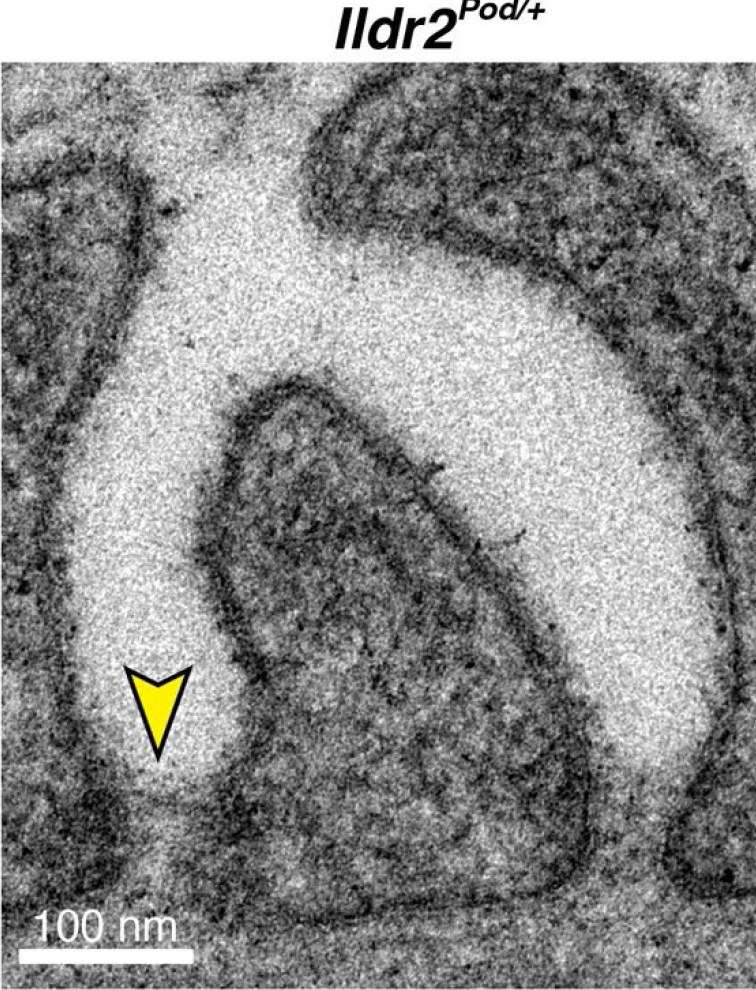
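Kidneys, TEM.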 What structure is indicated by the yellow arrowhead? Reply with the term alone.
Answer: Slit diaphragm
